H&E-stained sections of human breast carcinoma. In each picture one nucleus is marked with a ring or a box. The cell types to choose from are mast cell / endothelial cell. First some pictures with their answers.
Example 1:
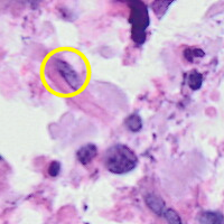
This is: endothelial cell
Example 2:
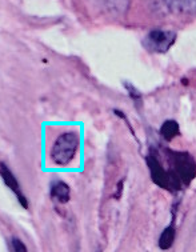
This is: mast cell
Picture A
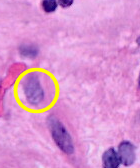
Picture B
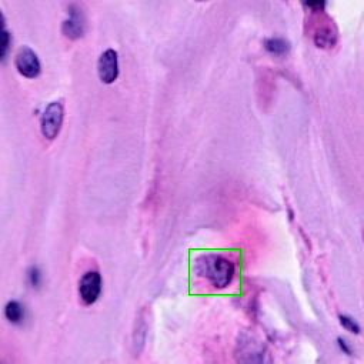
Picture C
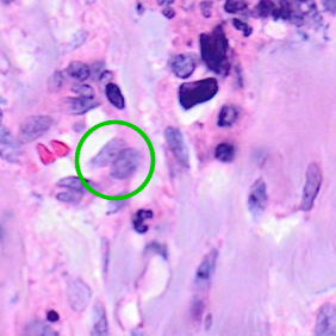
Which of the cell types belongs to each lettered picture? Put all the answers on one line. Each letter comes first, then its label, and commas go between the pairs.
A endothelial cell, B mast cell, C endothelial cell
